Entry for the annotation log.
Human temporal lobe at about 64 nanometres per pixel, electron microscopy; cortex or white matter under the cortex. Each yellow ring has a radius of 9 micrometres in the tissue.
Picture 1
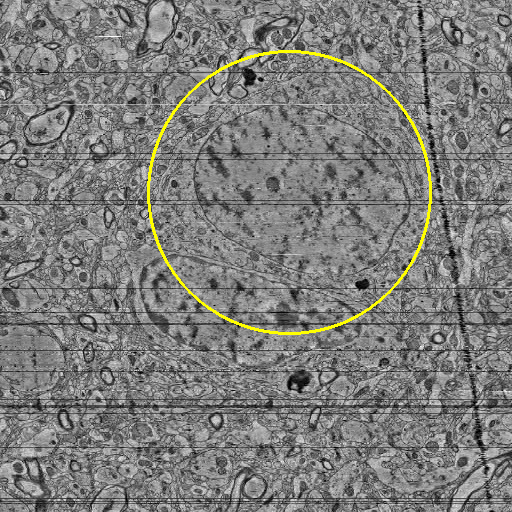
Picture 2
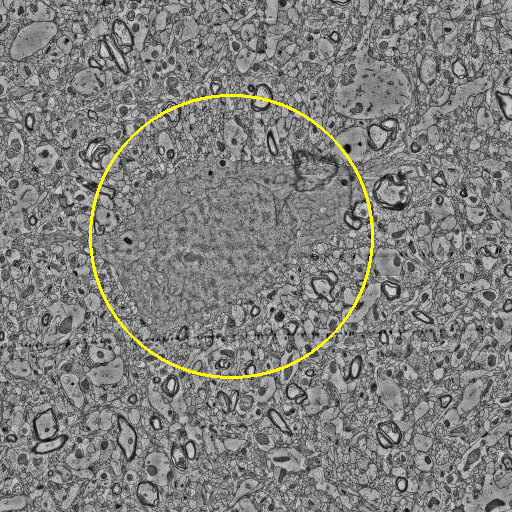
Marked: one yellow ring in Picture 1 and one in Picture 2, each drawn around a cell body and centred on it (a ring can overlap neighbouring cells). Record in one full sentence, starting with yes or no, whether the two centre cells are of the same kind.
Yes, both cells are of the same kind.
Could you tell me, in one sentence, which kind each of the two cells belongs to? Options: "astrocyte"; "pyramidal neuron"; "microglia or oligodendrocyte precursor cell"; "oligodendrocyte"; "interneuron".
In the first picture and in the second, the ring is centred on a pyramidal neuron.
